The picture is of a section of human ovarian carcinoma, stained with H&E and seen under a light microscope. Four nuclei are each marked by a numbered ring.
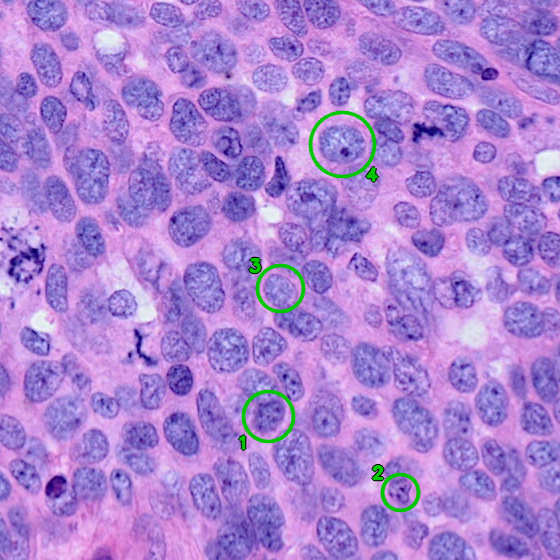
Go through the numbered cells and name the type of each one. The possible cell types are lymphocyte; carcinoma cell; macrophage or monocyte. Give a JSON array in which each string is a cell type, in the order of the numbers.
["carcinoma cell", "macrophage or monocyte", "carcinoma cell", "carcinoma cell"]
